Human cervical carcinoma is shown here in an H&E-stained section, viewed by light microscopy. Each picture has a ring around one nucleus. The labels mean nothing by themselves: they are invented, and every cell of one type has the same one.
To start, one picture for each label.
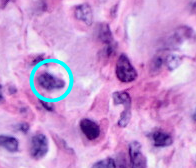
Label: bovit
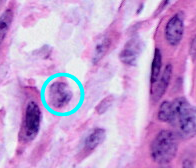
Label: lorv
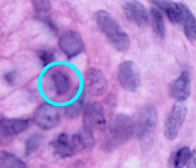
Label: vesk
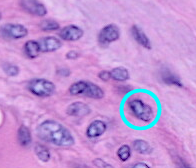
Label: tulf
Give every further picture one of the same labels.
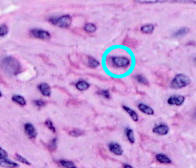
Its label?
tulf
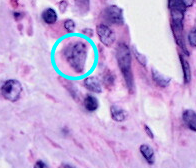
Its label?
lorv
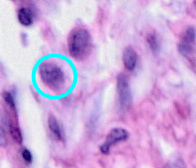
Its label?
lorv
